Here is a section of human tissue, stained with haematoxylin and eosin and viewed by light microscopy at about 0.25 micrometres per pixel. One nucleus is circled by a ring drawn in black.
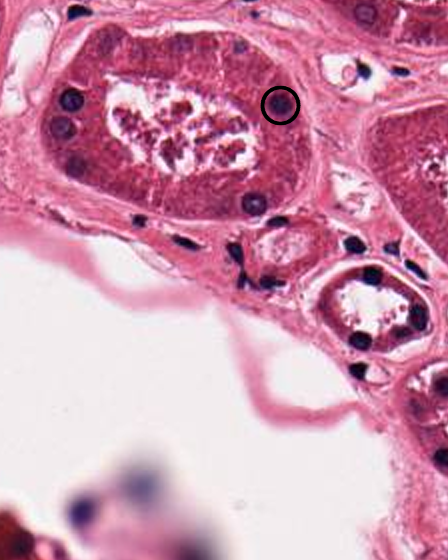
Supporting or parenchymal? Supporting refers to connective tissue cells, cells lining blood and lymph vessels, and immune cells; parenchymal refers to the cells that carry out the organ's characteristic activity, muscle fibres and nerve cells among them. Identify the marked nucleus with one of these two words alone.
parenchymal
